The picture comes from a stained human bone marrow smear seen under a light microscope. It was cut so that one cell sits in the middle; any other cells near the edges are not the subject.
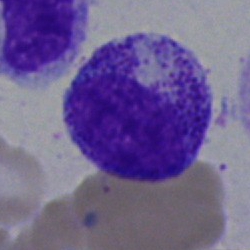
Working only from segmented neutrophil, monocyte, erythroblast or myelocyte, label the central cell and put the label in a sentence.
Regarding the central cell, it is a myelocyte.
